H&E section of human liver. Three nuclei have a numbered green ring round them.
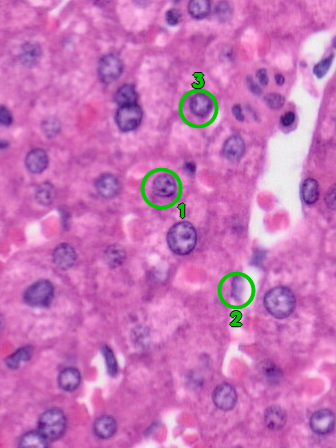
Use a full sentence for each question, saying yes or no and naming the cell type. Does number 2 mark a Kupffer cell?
Yes, the cell carrying number 2 is a Kupffer cell.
